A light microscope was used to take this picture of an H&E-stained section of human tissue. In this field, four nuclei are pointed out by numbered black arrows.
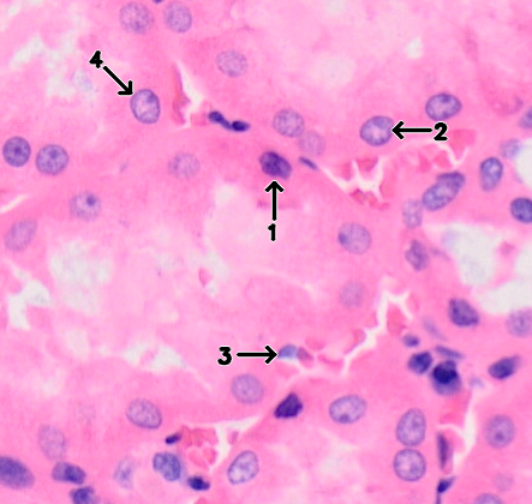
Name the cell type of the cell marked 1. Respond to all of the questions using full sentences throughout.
Recognised here as a proximal tubule cell is the cell numbered 1.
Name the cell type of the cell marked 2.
The nucleus labelled 2 belongs to a proximal tubule cell.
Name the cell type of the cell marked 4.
Number 4 among the marked cells is a proximal tubule cell.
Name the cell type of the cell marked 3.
Cell 3 in the field is an endothelial cell.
